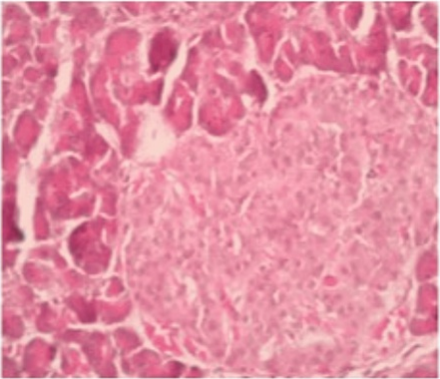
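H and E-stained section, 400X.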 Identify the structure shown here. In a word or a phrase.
Islets of Langerhans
